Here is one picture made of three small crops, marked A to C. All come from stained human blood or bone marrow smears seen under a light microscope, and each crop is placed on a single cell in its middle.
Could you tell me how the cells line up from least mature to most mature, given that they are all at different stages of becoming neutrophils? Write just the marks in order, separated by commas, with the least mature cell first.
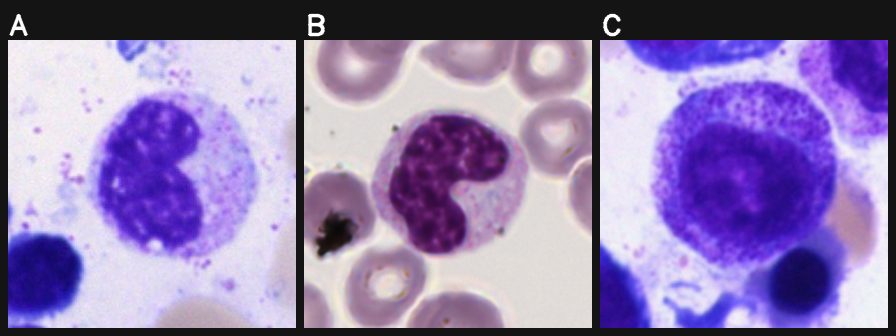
C, A, B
